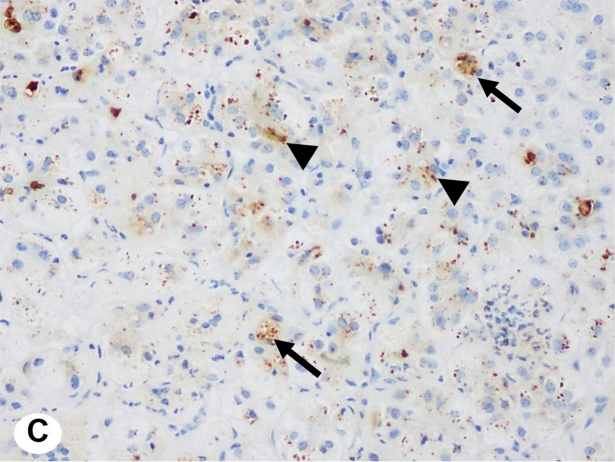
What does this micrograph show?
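Liver tissue in which the large hepatocytes of the hepatic parenchyma have round blue nuclei and pale cytoplasm scattered with fine to coarse brown granules, a few cells staining more intensely brown. Smaller cells with elongated or dark blue nuclei lie between the hepatocyte cords, and one area holds a small cluster of densely packed small nuclei.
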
